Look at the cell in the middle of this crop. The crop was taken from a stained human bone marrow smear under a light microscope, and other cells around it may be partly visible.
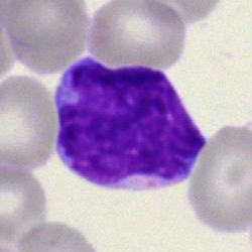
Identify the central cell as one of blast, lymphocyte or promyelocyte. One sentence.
The cell occupying the middle of the crop is a blast.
